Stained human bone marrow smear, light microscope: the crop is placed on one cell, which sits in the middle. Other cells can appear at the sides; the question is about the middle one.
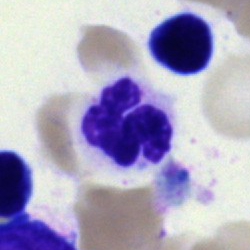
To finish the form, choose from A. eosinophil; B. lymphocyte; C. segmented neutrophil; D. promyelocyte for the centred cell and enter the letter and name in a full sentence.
In this crop the central cell is a segmented neutrophil, which option C correctly states.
